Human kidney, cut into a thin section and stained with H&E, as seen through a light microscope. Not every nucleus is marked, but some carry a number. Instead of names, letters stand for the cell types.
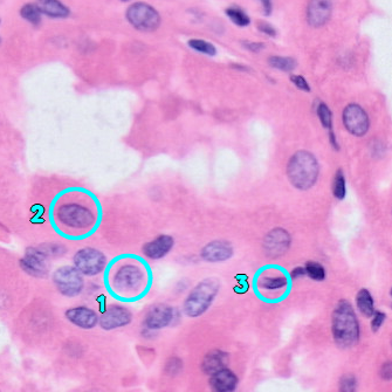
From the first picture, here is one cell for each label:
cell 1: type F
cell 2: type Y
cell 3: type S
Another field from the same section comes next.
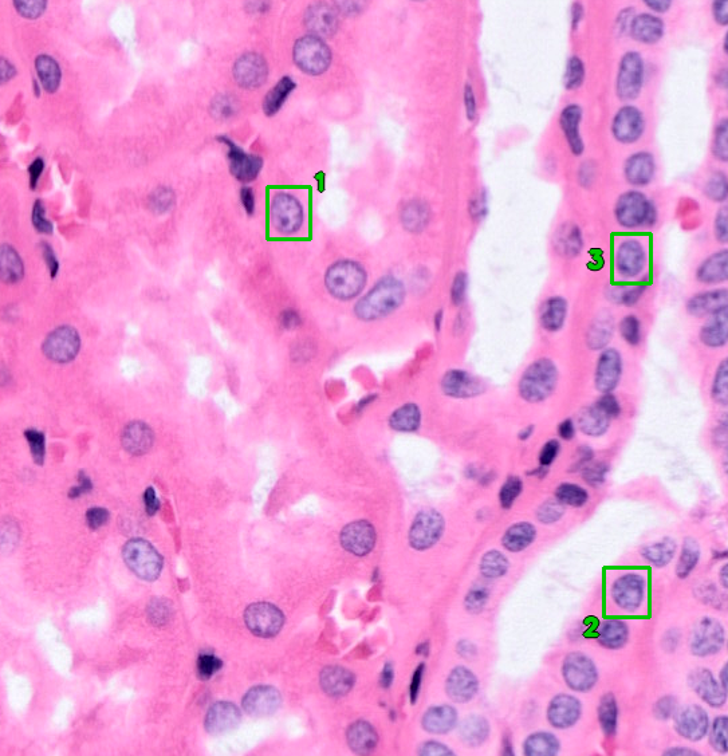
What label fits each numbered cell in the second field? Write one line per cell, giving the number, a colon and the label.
1: type Y
2: type F
3: type F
